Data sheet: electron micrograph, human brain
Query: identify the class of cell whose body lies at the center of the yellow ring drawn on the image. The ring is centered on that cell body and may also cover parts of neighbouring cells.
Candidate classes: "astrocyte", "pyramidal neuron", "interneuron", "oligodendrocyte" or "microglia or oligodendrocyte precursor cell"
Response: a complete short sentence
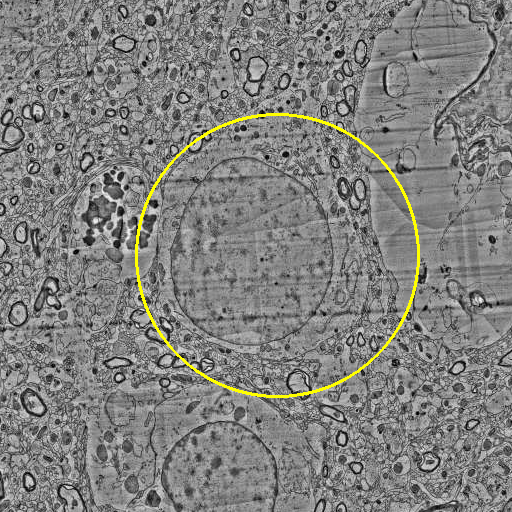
At the center of the ring lies a pyramidal neuron.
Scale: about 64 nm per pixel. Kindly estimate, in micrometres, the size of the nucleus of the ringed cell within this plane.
The nucleus appears roughly 12 by 10 micrometres in this plane.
